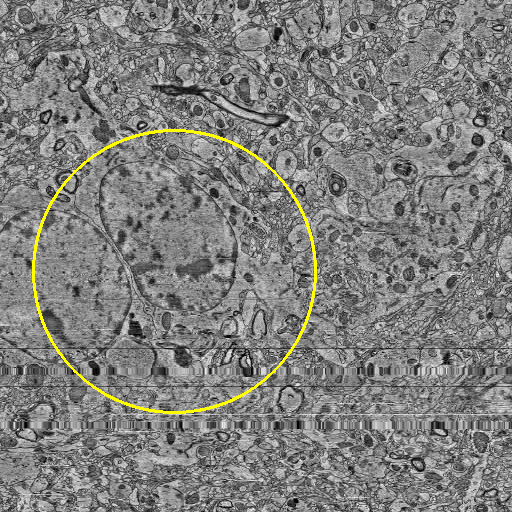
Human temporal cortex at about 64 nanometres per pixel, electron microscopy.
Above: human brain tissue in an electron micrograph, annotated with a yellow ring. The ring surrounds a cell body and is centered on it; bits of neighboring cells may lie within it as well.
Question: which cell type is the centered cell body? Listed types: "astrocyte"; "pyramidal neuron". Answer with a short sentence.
The centered cell body is an astrocyte.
